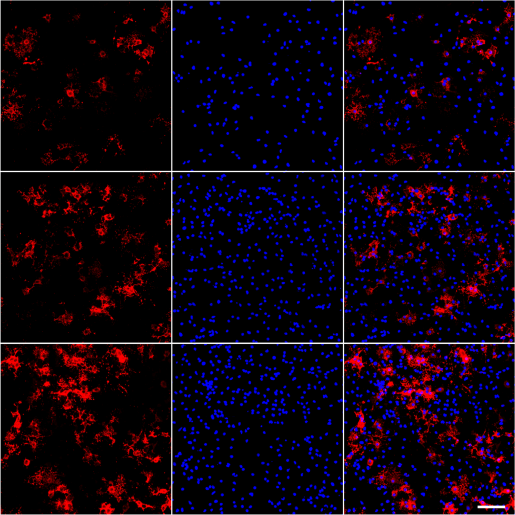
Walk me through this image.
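The red cells are star-shaped, with many fine branching processes and, in places, flat web-like sheets spreading around a central body. The red cells are scattered among many more nuclei that carry no red, and in the bottom row the red cells are larger and more numerous.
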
